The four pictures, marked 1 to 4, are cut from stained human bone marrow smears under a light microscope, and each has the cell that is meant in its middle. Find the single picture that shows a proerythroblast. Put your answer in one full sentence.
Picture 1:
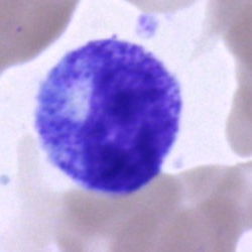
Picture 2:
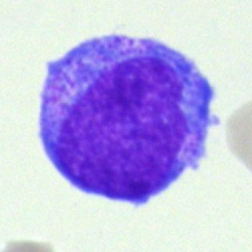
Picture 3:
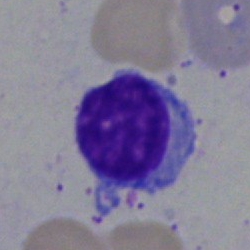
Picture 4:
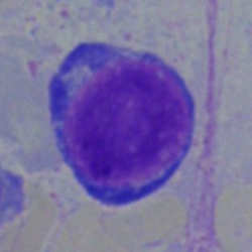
It is picture 4 that shows the proerythroblast.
